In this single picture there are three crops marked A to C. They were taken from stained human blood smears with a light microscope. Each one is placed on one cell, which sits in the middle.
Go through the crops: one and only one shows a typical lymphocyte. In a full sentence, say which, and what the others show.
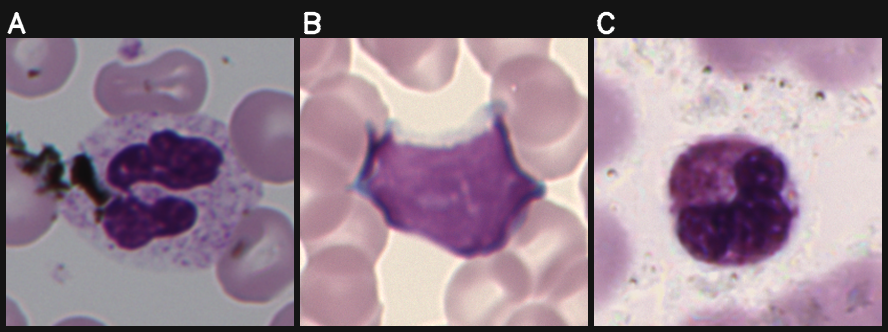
Crop B shows a typical lymphocyte, while in contrast crop A is a segmented neutrophil and crop C is an eosinophil.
